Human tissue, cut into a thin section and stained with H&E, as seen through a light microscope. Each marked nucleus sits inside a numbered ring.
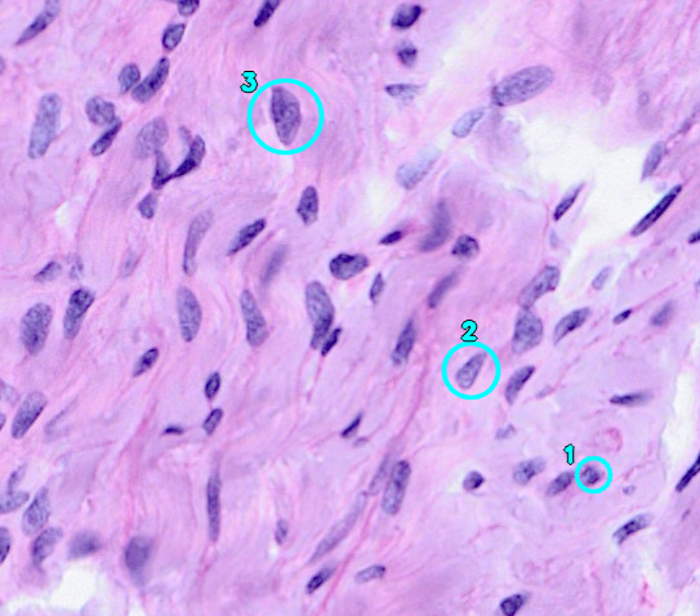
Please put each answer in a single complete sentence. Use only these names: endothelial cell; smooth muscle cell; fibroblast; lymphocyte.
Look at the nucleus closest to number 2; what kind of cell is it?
Closest to number 2 lies the nucleus of a fibroblast.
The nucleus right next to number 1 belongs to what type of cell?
The cell nearest to number 1 is a smooth muscle cell.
